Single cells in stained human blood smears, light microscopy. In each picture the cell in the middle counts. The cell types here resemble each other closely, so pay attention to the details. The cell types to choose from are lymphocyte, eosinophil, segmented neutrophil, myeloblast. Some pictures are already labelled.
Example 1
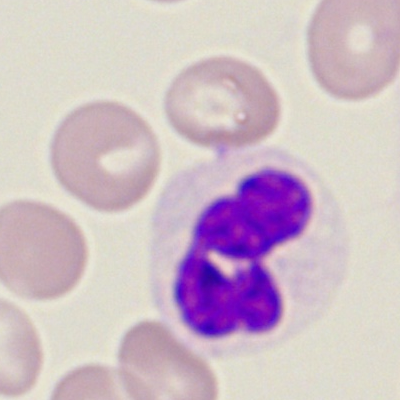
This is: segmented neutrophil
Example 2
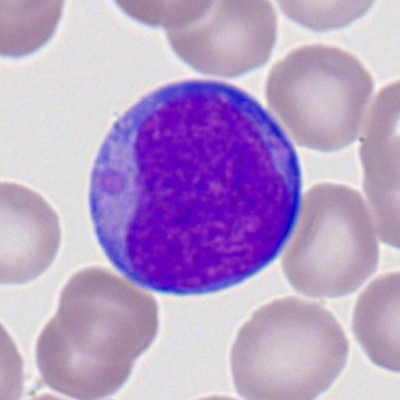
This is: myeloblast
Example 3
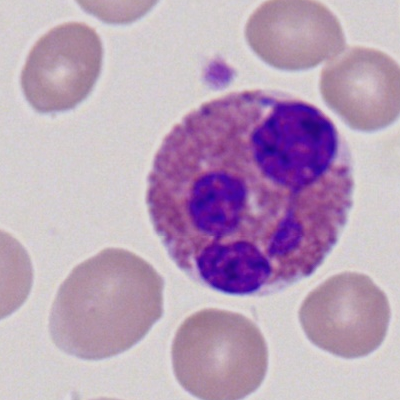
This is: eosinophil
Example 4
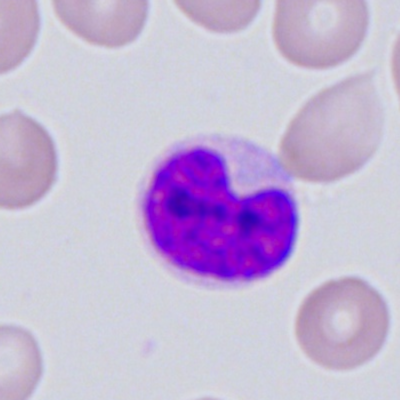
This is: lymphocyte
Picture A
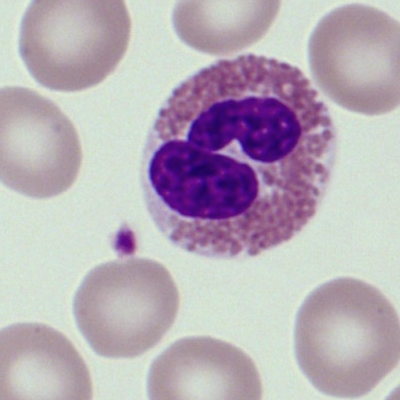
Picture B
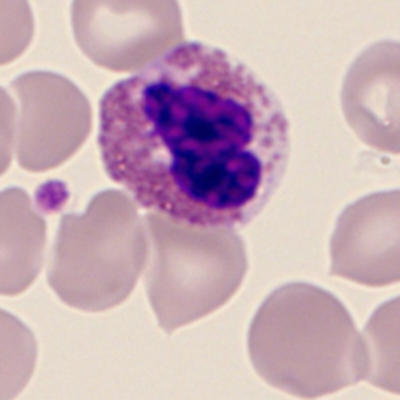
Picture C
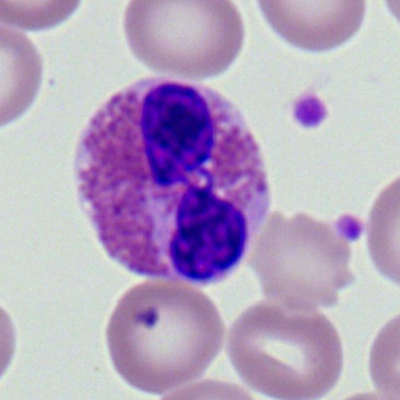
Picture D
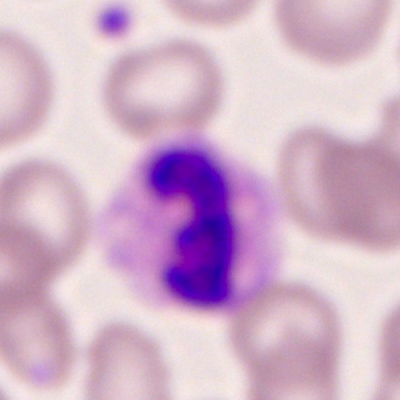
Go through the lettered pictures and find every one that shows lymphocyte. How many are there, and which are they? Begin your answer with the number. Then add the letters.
0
